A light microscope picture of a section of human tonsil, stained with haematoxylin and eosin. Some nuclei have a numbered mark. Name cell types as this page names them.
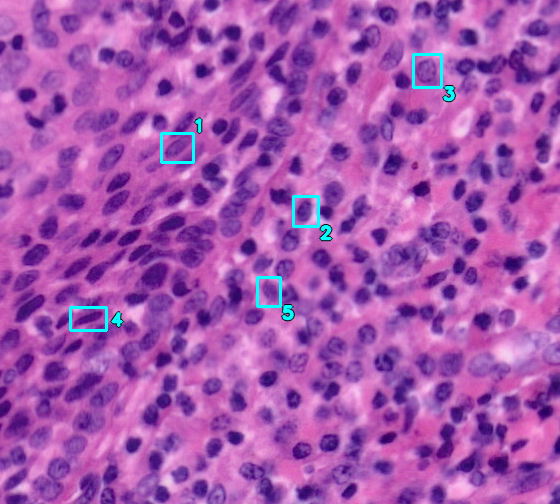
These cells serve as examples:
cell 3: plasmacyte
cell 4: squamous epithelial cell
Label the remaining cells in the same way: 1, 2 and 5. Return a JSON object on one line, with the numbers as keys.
{"1": "squamous epithelial cell", "2": "plasmacyte", "5": "plasmacyte"}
